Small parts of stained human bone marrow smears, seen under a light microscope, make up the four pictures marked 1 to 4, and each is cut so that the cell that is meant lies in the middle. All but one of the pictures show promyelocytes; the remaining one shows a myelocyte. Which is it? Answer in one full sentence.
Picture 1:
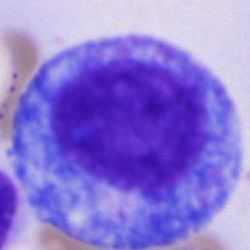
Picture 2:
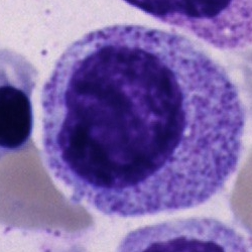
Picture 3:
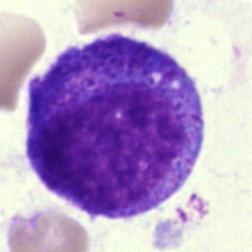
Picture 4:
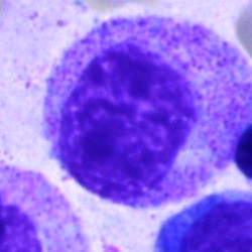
The picture with the myelocyte is 4.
